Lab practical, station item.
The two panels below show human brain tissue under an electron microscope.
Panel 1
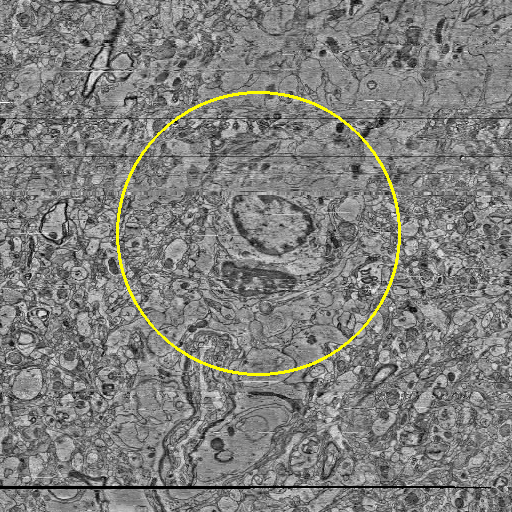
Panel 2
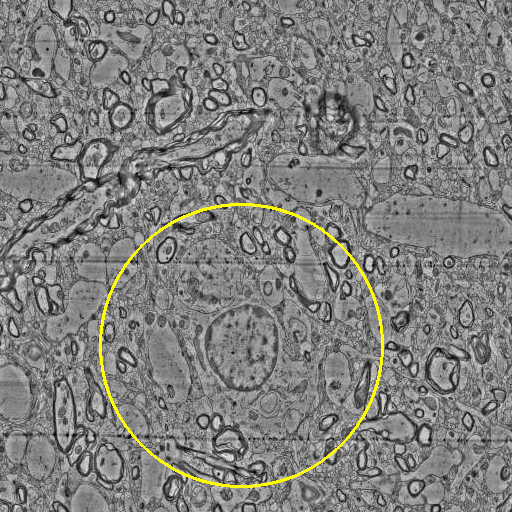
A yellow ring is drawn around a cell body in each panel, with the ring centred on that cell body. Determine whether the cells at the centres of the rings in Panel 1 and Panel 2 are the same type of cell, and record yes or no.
yes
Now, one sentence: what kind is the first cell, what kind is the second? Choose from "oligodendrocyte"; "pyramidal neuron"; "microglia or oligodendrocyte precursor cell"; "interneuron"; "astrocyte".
In each picture the ringed cell is a microglial cell or oligodendrocyte precursor cell.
